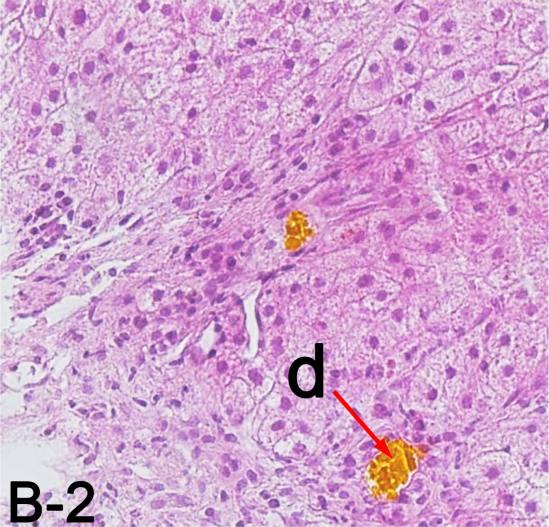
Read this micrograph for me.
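This liver section shows hepatocytes with bile pigment deposits. Most of the field is occupied by large polygonal hepatocytes with round central nuclei and pale, finely vacuolated, feathery pink-lilac cytoplasm. Two irregular clumps of golden-yellow to brown material lie among the hepatocytes, one in the middle of the field and a larger one lower right. Toward the left, a band of smaller cells with darker, elongated nuclei and thin fibrous strands crosses the field, with a few slit-like spaces. The hepatocyte plates are not clearly arranged in regular cords.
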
